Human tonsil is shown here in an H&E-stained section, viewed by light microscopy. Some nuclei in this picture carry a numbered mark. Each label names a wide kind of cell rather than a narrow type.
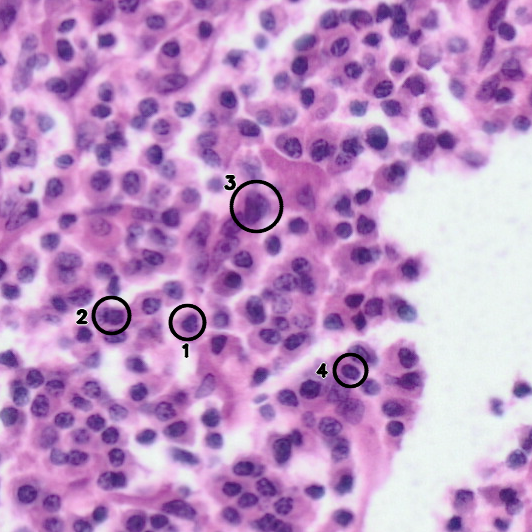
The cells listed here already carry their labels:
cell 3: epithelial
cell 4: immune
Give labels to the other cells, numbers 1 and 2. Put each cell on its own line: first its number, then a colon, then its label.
1: immune
2: immune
